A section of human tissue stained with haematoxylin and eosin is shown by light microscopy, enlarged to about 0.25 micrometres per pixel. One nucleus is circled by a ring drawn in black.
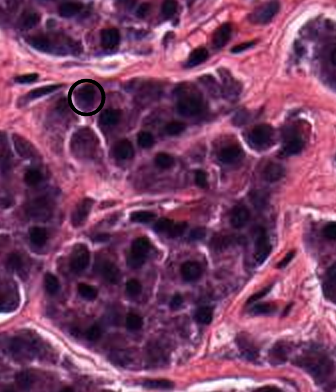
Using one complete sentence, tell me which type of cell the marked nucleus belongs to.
The nucleus bearing the mark belongs to a pancreatic acinar cell.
